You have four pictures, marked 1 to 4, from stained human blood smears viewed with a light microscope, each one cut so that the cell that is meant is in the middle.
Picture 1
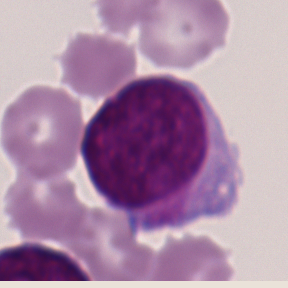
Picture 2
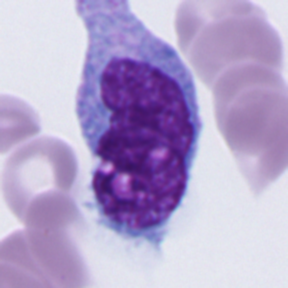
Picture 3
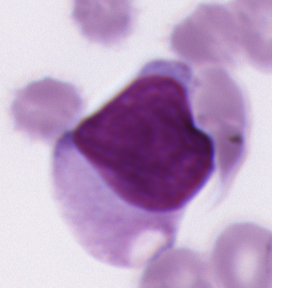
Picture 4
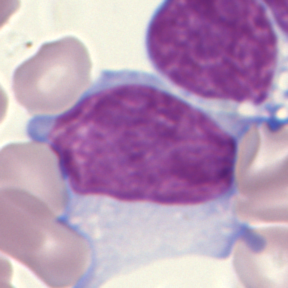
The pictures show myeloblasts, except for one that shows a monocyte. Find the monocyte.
2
